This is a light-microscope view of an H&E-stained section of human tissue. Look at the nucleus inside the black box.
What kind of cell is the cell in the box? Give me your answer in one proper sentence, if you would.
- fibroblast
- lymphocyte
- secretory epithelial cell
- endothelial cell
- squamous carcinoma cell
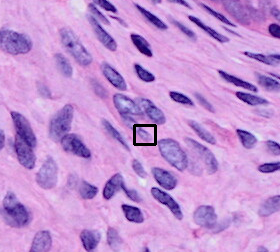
The correct response here is that the cell in the box is an endothelial cell.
